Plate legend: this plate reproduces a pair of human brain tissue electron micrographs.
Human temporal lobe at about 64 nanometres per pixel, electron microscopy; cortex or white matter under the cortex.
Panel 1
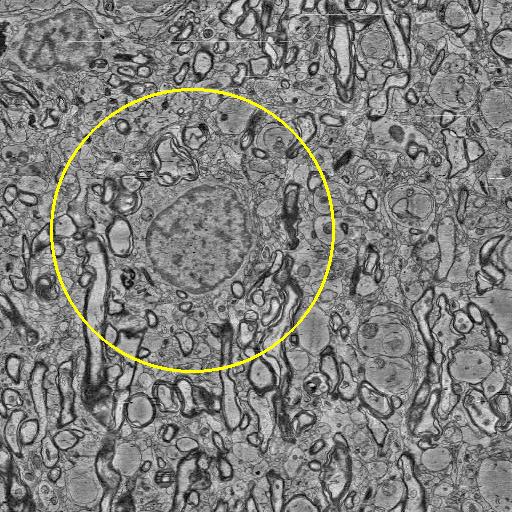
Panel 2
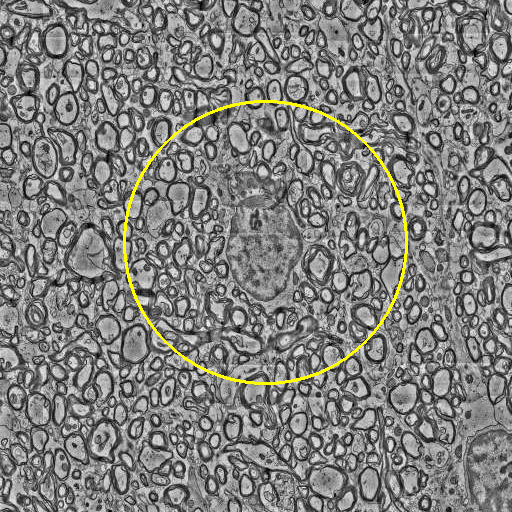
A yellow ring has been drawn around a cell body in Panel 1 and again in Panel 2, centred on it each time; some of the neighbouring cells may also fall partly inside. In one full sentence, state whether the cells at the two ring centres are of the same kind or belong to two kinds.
The ring-centred cells of Panel 1 and Panel 2 are of the same kind.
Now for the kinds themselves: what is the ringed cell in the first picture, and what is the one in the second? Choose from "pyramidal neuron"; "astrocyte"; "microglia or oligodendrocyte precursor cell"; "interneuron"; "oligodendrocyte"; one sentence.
Each of the two cells is an oligodendrocyte.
